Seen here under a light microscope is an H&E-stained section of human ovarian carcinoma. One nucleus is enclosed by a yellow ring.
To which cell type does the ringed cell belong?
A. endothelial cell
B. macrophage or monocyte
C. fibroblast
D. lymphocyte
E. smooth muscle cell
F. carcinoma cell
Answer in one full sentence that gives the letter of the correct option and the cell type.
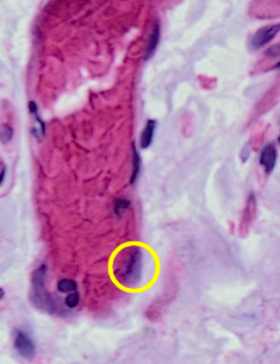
In agreement with option A, the ringed cell is an endothelial cell.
